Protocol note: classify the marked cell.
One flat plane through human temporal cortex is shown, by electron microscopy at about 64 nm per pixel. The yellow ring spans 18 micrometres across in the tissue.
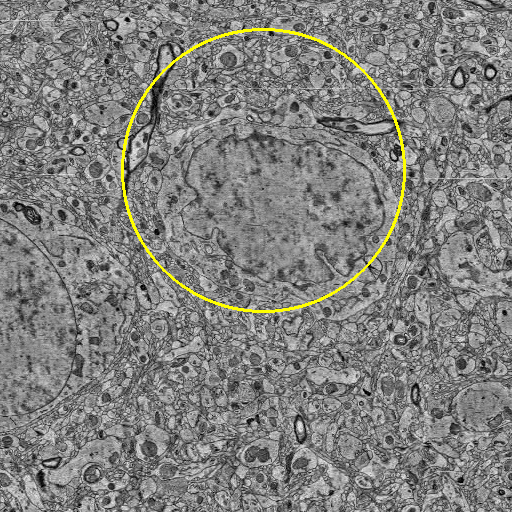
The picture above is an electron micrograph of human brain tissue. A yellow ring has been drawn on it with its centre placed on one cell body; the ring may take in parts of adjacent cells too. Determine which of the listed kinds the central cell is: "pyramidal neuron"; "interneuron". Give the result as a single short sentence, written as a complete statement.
The central cell is an interneuron.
